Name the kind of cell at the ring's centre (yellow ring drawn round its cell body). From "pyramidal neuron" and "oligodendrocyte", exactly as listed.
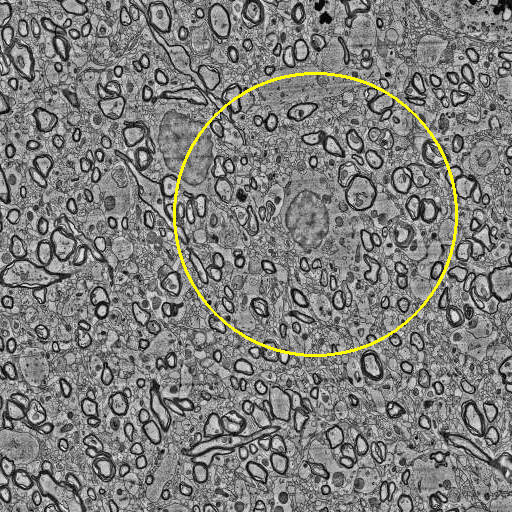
oligodendrocyte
